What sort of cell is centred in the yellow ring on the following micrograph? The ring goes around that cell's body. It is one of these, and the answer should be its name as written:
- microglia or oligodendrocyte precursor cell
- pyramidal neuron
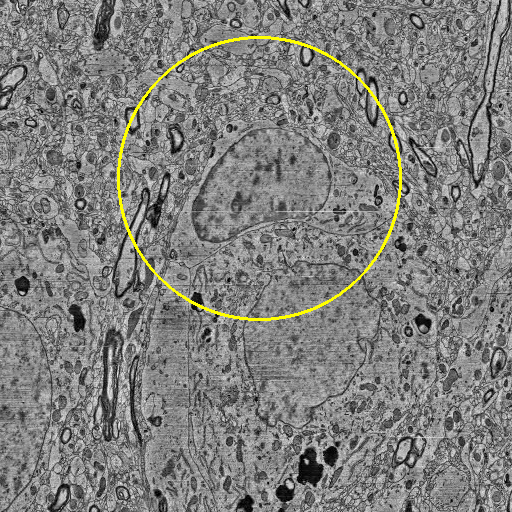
microglia or oligodendrocyte precursor cell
